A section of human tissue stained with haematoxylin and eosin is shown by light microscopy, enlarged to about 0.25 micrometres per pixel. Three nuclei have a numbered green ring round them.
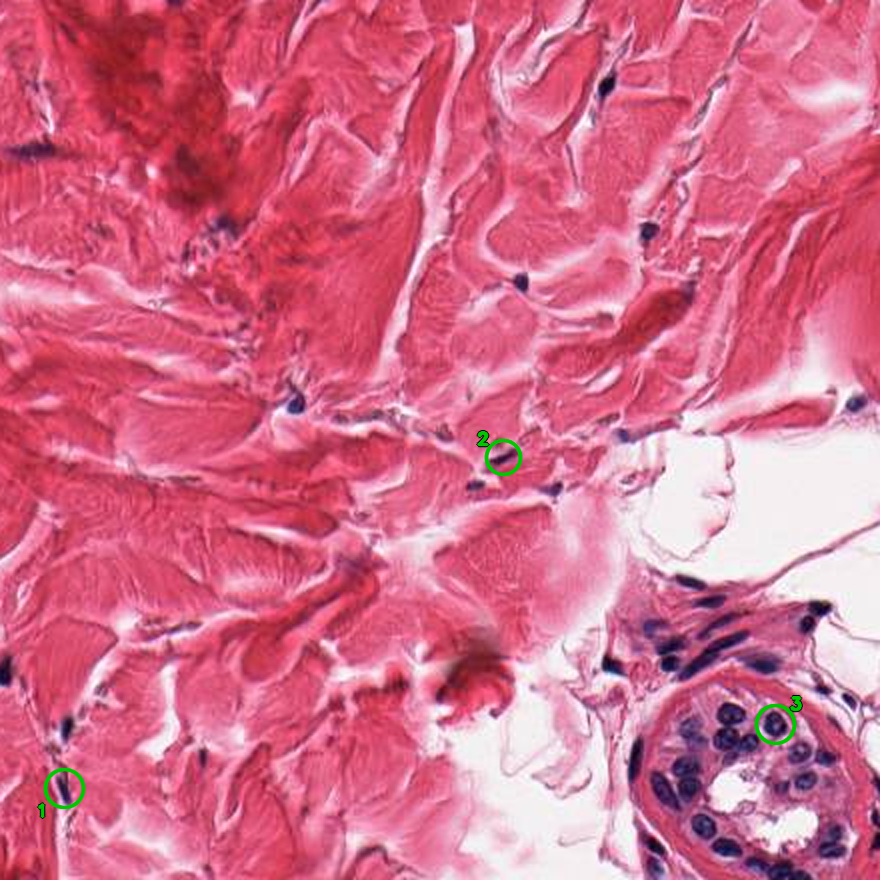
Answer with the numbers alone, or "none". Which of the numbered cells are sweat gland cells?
3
